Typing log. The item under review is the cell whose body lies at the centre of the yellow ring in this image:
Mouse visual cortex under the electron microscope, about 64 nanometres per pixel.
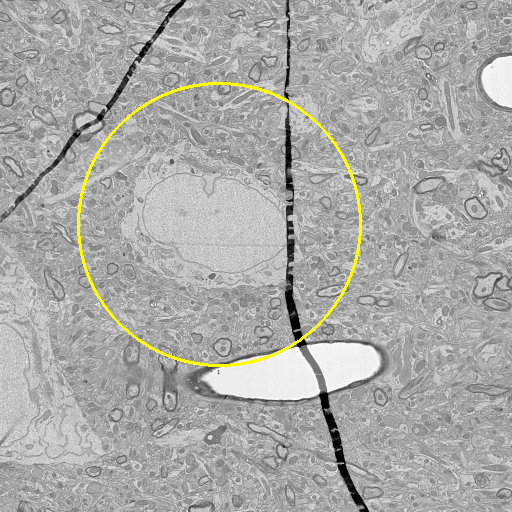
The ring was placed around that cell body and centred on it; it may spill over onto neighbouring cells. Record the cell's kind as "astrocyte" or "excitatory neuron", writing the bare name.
excitatory neuron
